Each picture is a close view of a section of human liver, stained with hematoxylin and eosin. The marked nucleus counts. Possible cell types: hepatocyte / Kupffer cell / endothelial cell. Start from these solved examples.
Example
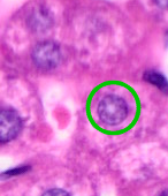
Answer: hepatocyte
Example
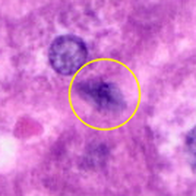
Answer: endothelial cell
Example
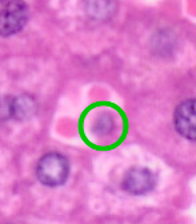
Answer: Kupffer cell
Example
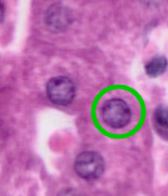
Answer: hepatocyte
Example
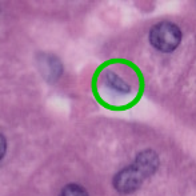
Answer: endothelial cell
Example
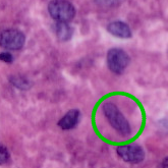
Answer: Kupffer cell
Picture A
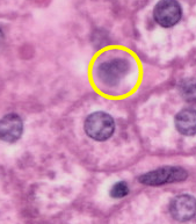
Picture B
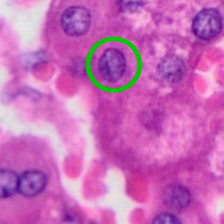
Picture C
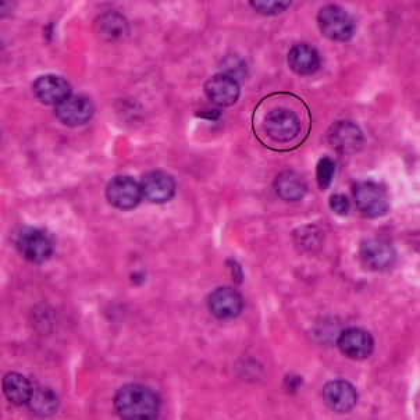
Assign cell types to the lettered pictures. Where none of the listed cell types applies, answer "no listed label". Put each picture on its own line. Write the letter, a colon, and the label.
A: endothelial cell
B: hepatocyte
C: hepatocyte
